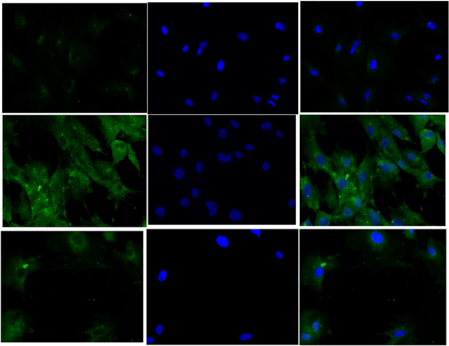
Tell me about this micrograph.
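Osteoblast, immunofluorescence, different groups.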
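In the top row the green is very faint and cell bodies are barely outlined. In the middle row the green is diffuse and granular through the spread cytoplasm of many overlapping, irregular flattened cells, so their outlines and processes are visible around the nuclei. In the bottom row the green is weaker and patchy, with small bright spots near some nuclei.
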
